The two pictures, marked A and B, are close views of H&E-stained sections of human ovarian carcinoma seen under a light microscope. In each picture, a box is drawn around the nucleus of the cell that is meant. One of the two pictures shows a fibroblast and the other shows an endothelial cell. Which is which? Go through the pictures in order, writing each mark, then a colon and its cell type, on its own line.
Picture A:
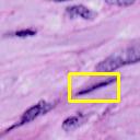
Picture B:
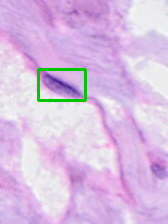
A: fibroblast
B: endothelial cell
